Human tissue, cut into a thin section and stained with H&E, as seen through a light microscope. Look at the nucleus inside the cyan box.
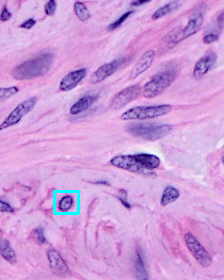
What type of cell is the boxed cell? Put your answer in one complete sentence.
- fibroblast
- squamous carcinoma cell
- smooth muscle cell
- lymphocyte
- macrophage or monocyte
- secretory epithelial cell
As a matter of cell type, the boxed cell is a smooth muscle cell.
